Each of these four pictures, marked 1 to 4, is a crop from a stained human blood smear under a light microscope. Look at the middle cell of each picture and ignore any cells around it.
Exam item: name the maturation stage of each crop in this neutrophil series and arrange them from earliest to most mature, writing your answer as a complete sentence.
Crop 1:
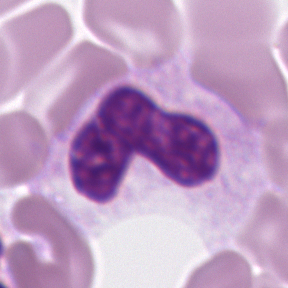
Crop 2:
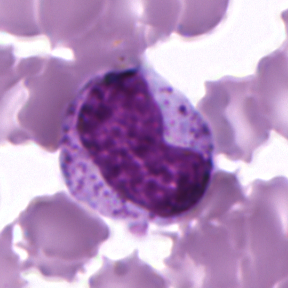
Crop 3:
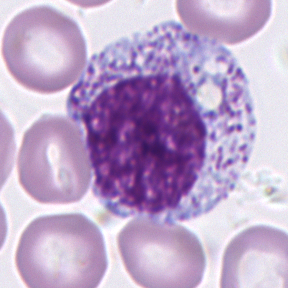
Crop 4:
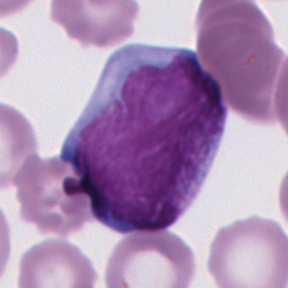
Proceeding from least to most mature, the order is crop 4 (a myeloblast), crop 3 (a promyelocyte), crop 2 (a metamyelocyte) and crop 1 (a band neutrophil).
